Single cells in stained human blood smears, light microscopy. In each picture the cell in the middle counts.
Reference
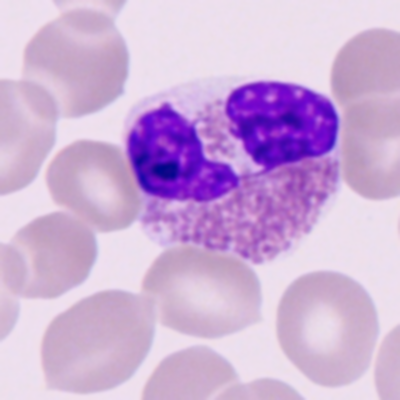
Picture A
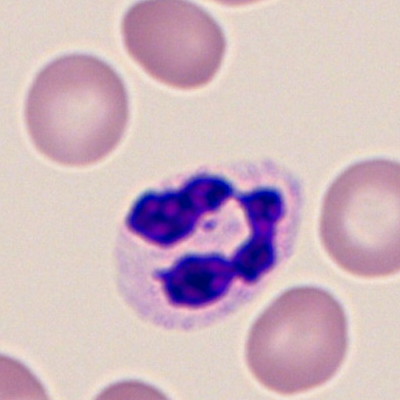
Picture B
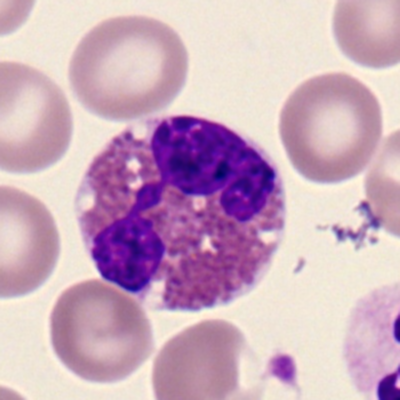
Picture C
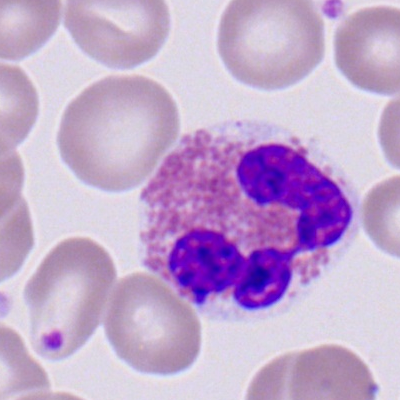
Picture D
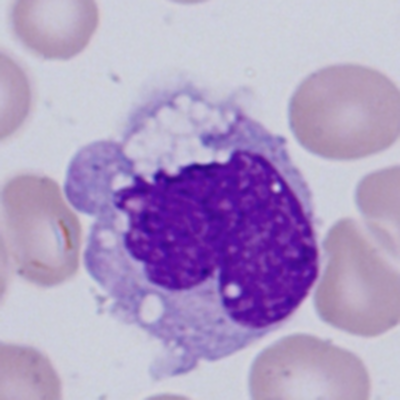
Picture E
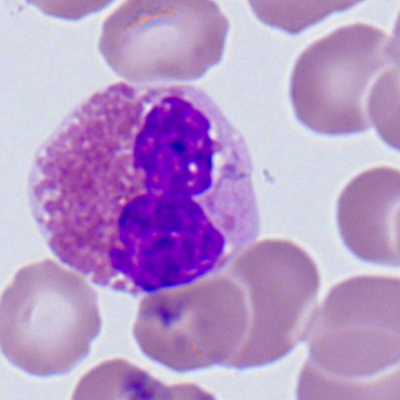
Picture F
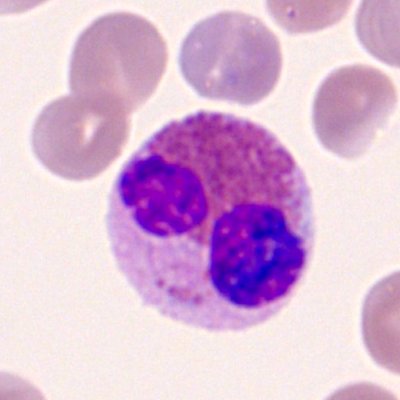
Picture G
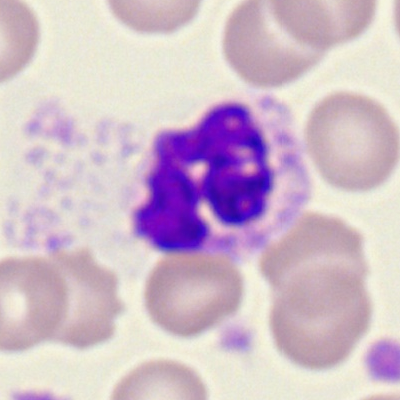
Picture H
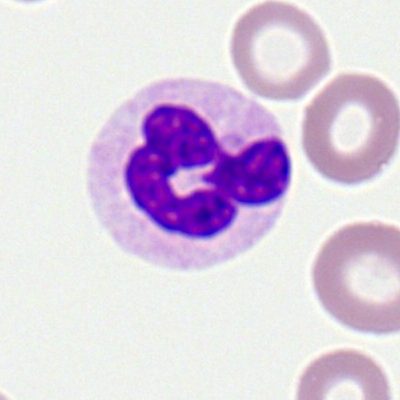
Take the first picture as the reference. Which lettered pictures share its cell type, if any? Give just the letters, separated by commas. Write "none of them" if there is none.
B, C, E, F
